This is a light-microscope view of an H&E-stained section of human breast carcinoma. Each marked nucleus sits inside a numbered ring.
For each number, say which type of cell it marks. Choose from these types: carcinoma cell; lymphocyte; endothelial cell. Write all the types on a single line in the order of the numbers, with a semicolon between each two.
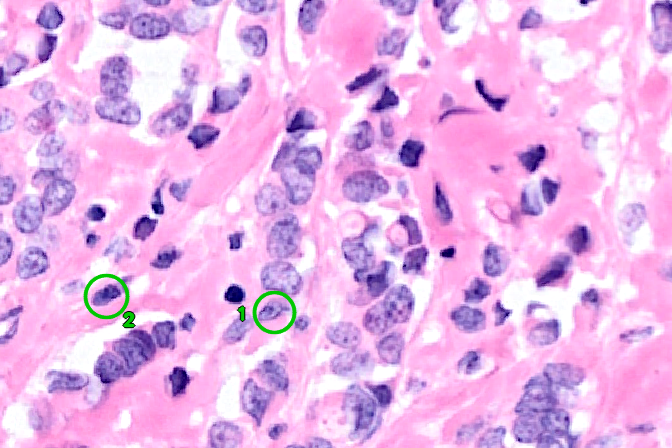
endothelial cell; lymphocyte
